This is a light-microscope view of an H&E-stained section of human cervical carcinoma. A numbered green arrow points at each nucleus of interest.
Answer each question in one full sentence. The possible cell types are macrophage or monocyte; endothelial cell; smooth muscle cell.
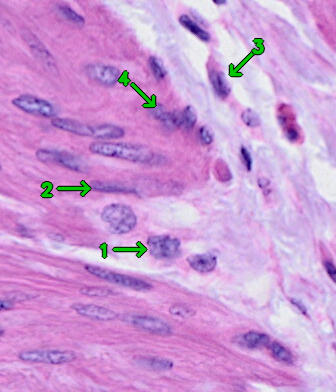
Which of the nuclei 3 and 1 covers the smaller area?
Nucleus 3 covers less area, with nucleus 1 about 1.5 times as large.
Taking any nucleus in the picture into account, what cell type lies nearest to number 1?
It is a macrophage or monocyte whose nucleus is nearest to number 1.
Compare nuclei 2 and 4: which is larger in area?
Number 4 is larger; its area is about 1.5 times that of number 2.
